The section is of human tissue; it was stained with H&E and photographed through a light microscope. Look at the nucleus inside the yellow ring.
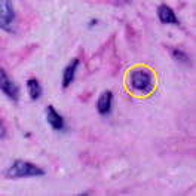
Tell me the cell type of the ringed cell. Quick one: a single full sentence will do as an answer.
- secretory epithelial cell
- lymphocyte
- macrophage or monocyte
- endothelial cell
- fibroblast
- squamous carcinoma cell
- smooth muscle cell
As far as its identity is concerned, the ringed cell is a smooth muscle cell.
